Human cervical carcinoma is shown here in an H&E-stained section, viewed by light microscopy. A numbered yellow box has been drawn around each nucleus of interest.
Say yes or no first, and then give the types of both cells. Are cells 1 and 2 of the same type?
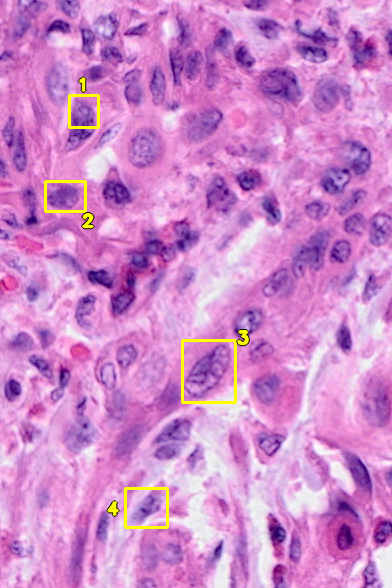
Yes, both are squamous carcinoma cells.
